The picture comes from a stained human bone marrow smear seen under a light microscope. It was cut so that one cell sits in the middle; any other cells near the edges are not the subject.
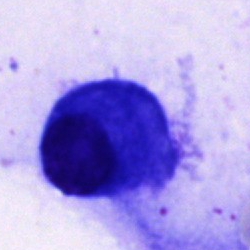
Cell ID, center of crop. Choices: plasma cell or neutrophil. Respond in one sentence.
This crop is built around a plasma cell at its centre.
